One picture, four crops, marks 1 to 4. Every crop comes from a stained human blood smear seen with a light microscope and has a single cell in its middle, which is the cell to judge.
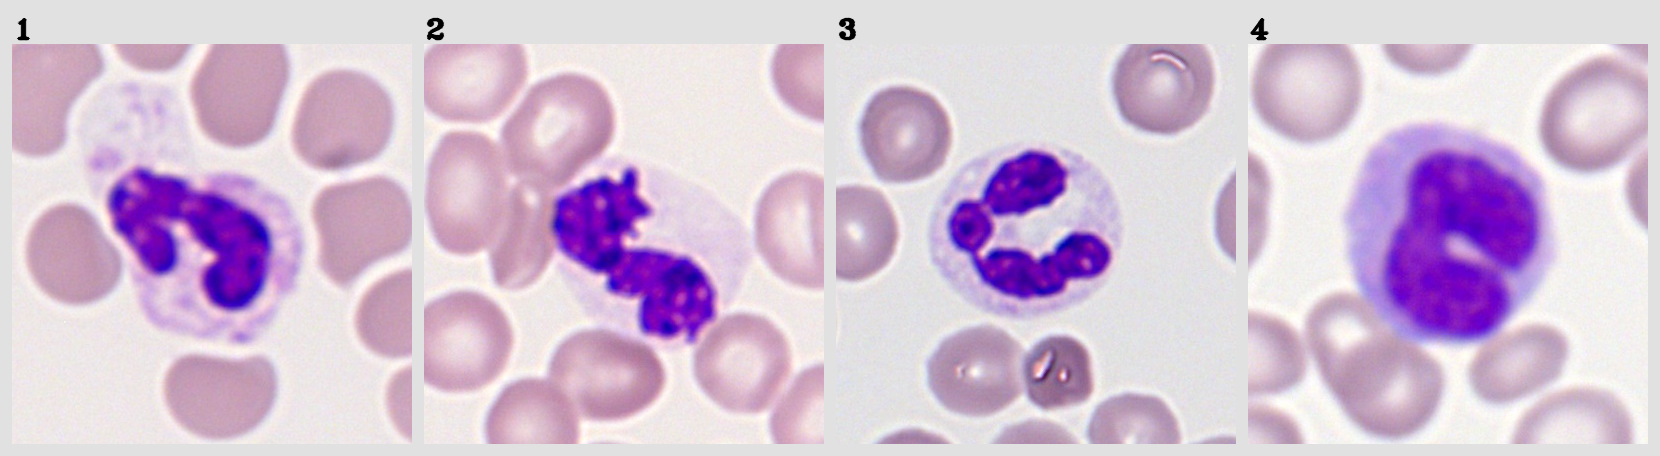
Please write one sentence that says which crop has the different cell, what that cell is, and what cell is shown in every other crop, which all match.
Crop 4 is the one that is a monocyte, and the other crops all show segmented neutrophils.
